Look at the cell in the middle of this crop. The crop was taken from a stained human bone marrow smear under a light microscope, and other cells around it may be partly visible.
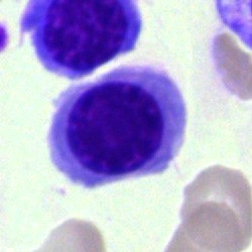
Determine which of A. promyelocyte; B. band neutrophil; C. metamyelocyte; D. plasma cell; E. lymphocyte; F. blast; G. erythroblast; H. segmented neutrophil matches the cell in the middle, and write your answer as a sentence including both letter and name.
The one to choose is option G, as the cell in the middle is an erythroblast.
